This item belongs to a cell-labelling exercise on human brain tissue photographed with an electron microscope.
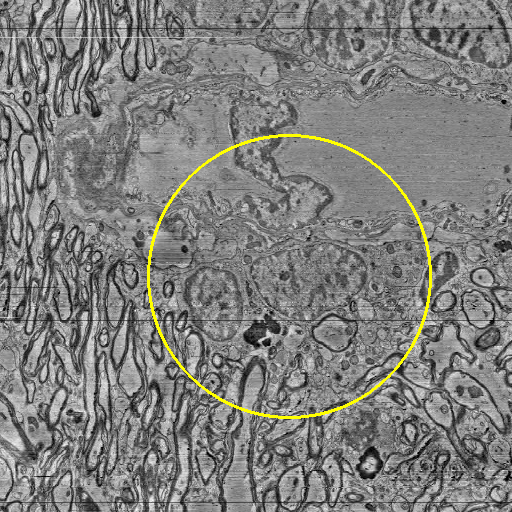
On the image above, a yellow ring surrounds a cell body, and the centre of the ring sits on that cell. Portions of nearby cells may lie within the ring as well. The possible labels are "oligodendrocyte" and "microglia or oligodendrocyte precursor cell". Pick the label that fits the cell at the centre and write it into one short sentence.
This cell should be labelled as an oligodendrocyte.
